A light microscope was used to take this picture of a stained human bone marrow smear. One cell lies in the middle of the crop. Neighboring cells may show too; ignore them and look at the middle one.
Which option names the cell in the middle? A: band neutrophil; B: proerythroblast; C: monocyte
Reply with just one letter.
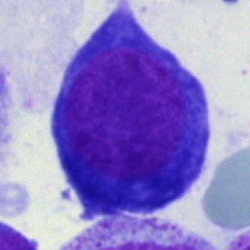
B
